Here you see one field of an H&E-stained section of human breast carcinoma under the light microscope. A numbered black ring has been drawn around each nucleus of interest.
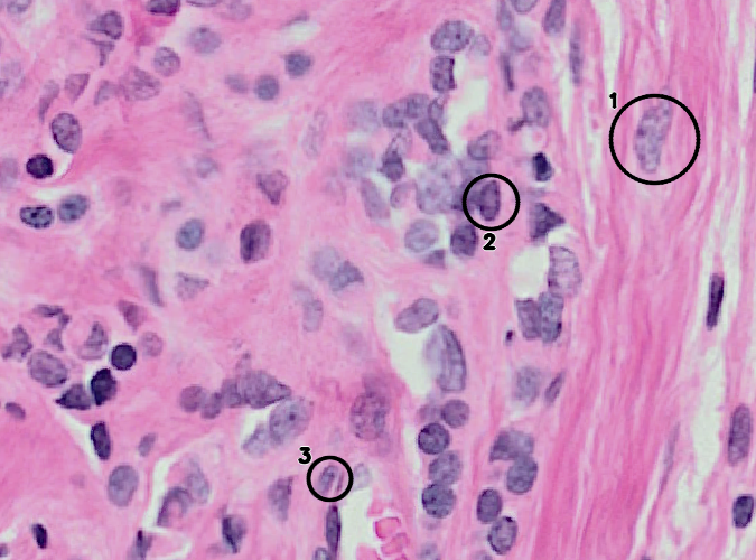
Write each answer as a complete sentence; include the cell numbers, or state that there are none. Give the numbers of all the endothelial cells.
Of the cells carrying numbers, just cell 3 is an endothelial cell.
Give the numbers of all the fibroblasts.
The nucleus labelled 1 alone belongs to a fibroblast; the other marked nuclei do not.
